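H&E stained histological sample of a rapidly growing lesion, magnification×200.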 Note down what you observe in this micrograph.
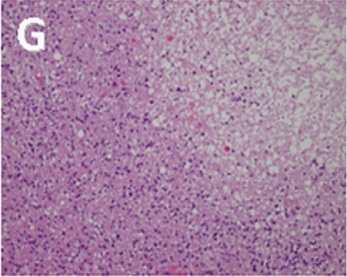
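This field shows mixed regions of tumor and necrosis, with a dense band of dark purple nuclei in the lower left giving way to pale tissue in the upper right. The pale area is pink and full of small clear vacuoles with few nuclei, and scattered red blood cells lie near the border between the two.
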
